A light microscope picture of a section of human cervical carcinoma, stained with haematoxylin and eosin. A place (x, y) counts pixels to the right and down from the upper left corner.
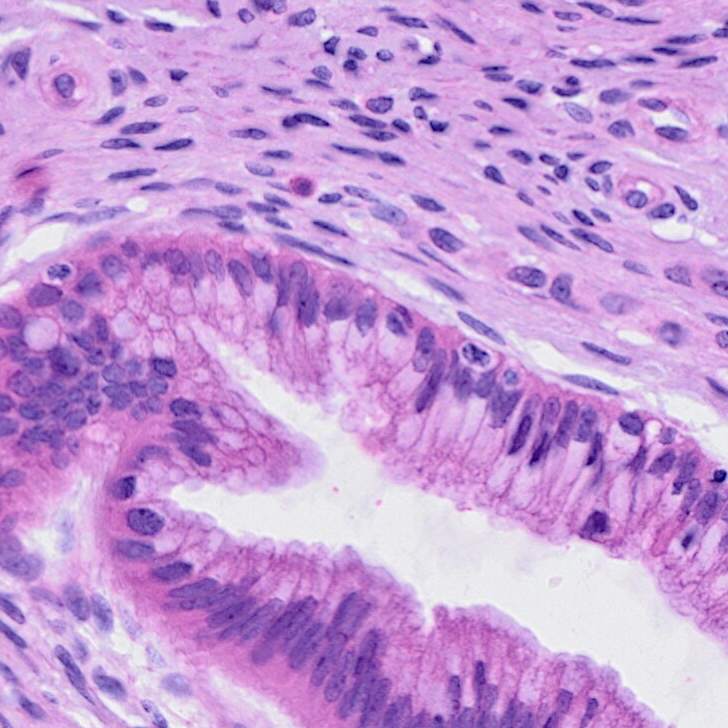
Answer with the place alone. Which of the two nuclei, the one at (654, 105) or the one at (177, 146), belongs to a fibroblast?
(177, 146)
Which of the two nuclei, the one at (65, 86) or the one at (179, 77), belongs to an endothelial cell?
(65, 86)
